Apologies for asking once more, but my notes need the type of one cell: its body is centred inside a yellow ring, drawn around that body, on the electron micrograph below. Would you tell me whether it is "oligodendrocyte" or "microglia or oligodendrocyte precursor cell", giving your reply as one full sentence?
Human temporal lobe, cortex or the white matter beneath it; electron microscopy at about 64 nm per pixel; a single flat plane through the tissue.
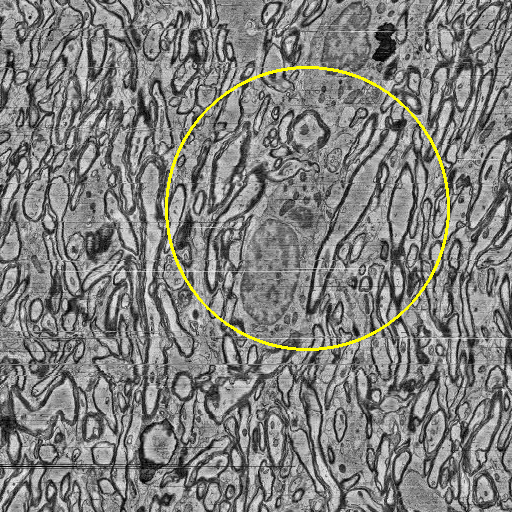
The cell that the yellow ring is centred on is an oligodendrocyte in this micrograph.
